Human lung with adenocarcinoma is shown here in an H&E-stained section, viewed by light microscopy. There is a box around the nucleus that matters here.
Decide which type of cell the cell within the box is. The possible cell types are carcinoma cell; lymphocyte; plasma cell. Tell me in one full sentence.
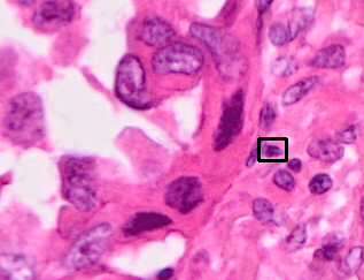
The cell type represented by the cell within the box is that of a lymphocyte.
